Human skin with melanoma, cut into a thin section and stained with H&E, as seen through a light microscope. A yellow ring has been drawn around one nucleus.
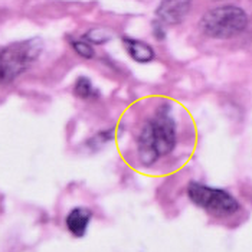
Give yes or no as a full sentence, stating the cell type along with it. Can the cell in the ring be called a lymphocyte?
No, the cell in the ring is not a lymphocyte; the correct answer is a melanoma cell.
